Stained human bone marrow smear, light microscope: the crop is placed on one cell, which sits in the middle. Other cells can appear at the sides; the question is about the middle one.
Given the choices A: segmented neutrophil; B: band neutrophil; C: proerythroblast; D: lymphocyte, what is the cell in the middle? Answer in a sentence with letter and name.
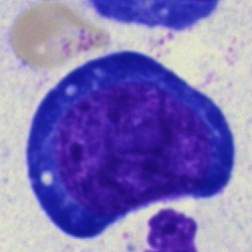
Identified correctly by option C, the cell in the middle is a proerythroblast.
